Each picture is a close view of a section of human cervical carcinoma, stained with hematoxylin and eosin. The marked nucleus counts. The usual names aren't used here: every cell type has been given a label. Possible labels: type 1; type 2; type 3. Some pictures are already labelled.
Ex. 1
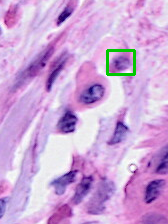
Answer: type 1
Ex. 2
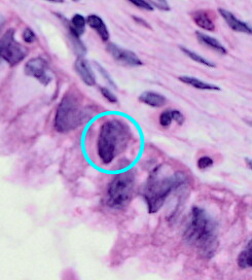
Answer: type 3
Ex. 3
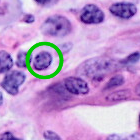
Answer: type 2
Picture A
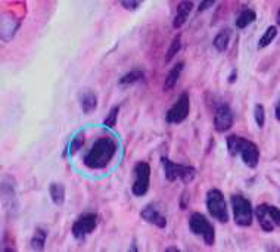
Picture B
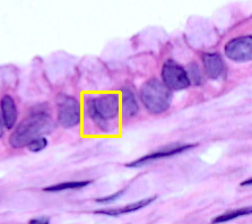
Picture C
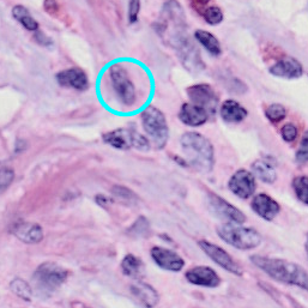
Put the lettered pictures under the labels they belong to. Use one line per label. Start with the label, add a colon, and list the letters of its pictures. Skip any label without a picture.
type 1: C
type 2: A
type 3: B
